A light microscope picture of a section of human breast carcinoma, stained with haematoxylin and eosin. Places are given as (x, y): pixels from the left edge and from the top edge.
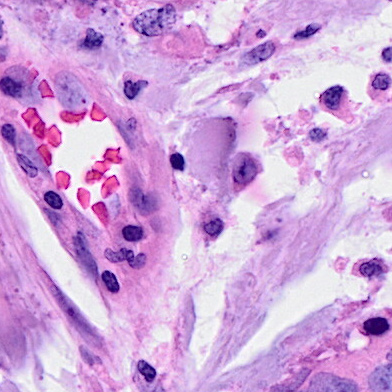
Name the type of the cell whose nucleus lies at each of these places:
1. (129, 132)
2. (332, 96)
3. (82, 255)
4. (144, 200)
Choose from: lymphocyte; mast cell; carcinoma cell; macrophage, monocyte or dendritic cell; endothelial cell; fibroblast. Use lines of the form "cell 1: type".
cell 1: endothelial cell
cell 2: mast cell
cell 3: endothelial cell
cell 4: endothelial cell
